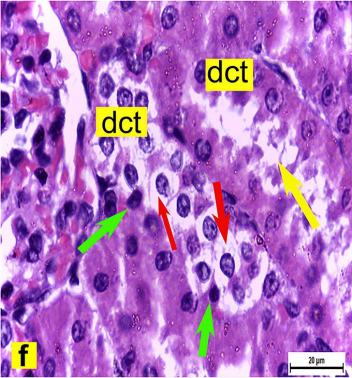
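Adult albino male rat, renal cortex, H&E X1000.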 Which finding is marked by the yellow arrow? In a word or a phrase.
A: cytoplasmic strands in its lumen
